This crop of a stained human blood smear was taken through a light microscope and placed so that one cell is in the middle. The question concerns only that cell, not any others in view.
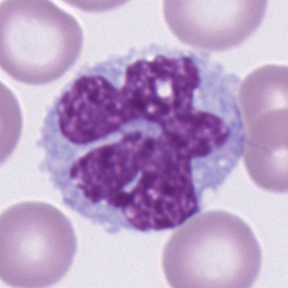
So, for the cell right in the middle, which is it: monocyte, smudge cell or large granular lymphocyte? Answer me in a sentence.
This crop is built around a monocyte at its centre.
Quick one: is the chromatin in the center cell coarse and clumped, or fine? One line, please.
Here the nuclear chromatin is coarsely clumped.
